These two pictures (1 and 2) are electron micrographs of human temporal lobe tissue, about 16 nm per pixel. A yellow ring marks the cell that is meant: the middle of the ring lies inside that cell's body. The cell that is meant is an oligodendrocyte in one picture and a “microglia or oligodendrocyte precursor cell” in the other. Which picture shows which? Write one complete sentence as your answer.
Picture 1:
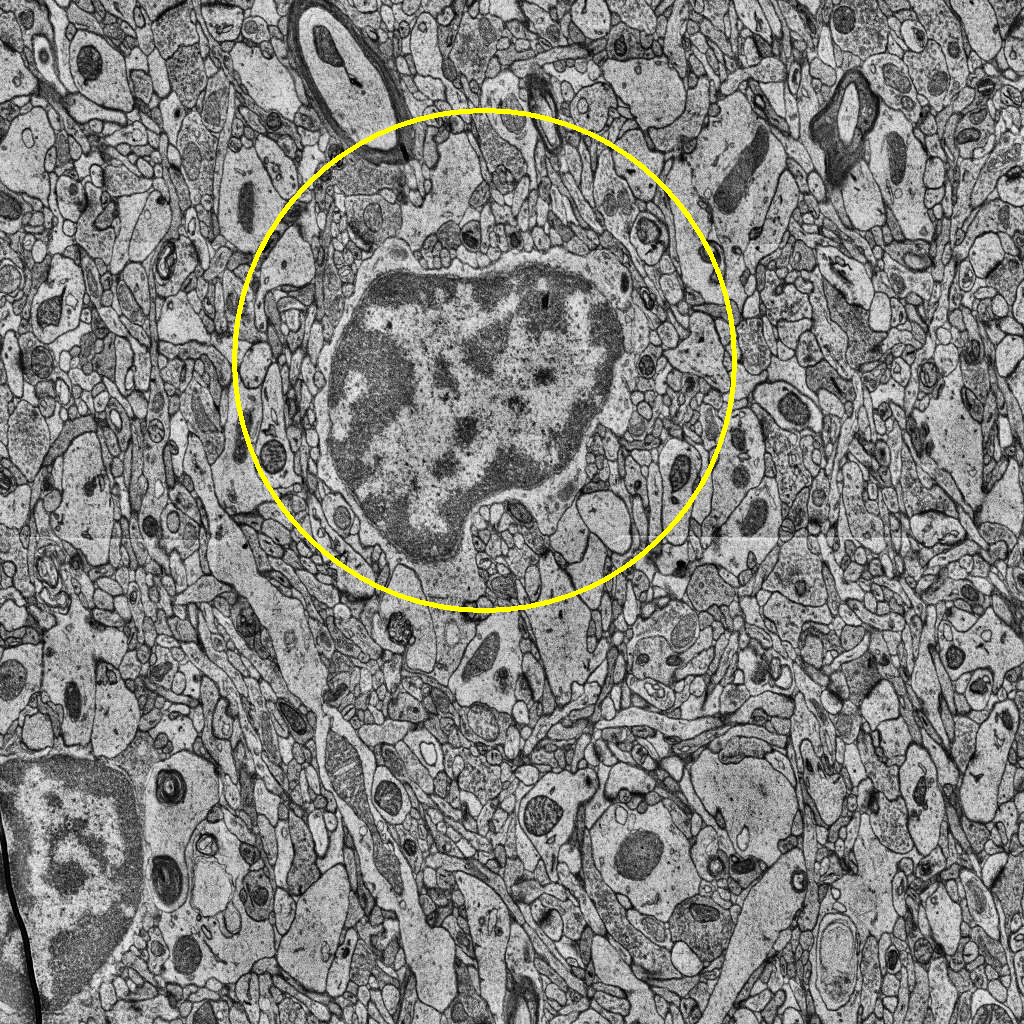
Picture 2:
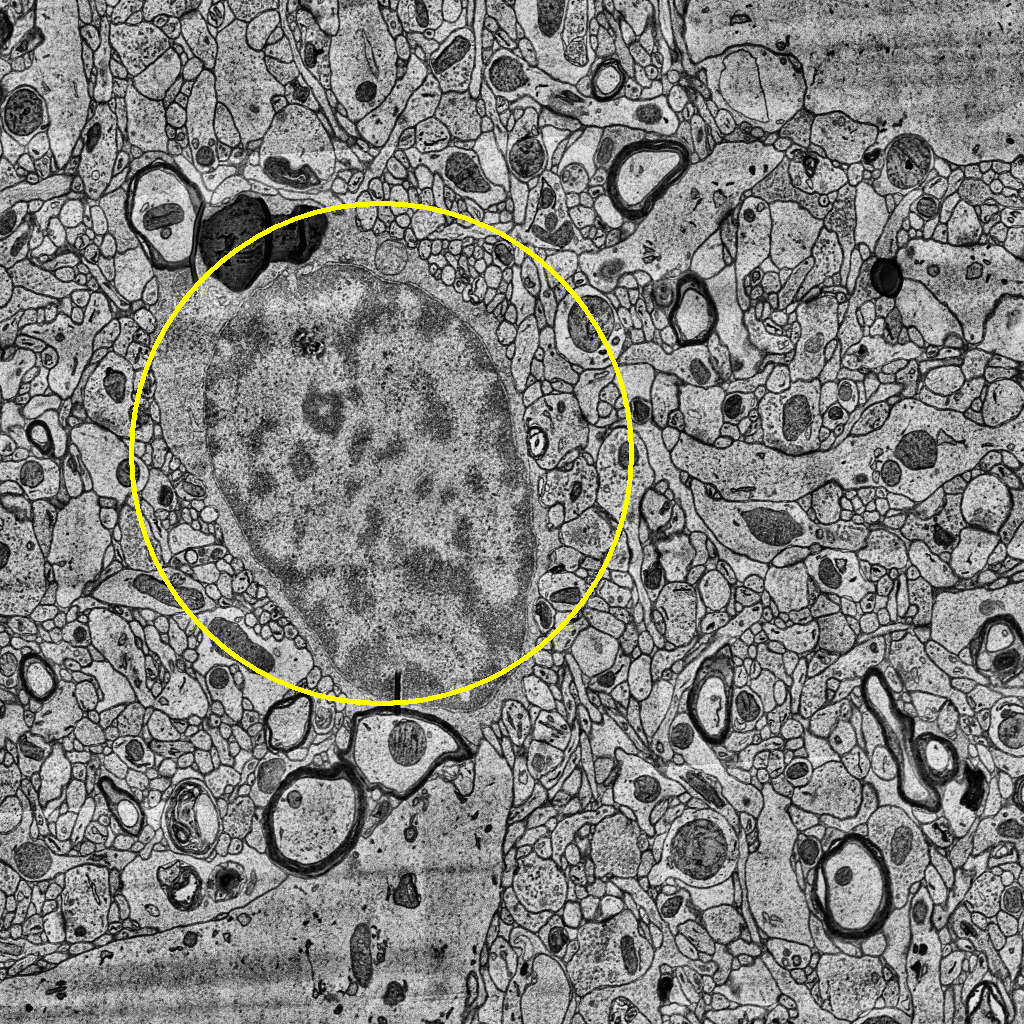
It is picture 1 that shows a “microglia or oligodendrocyte precursor cell”, and picture 2 that shows an oligodendrocyte.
